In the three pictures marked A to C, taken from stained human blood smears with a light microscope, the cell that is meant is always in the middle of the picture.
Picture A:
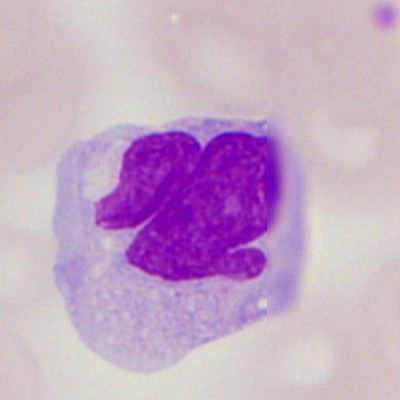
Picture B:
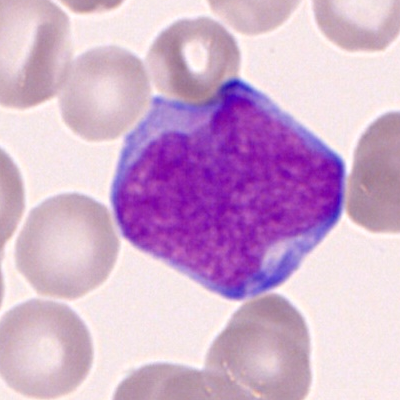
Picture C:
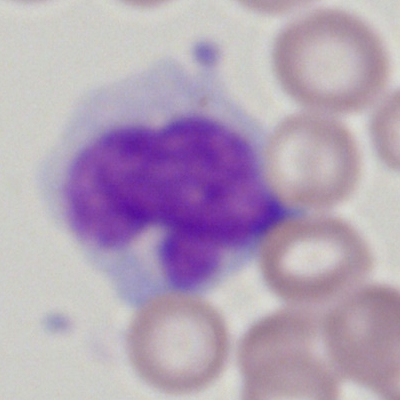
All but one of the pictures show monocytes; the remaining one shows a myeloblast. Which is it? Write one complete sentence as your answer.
Picture B shows the myeloblast.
